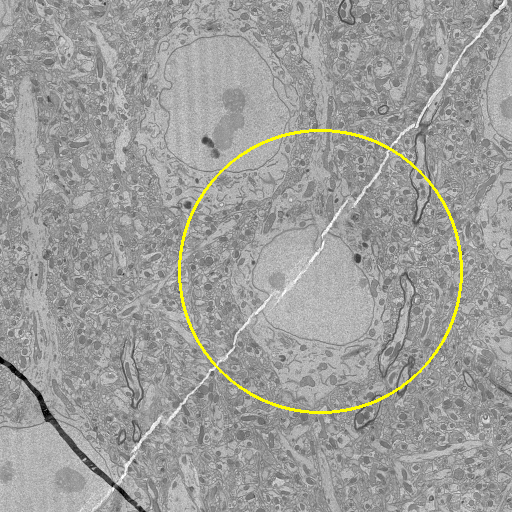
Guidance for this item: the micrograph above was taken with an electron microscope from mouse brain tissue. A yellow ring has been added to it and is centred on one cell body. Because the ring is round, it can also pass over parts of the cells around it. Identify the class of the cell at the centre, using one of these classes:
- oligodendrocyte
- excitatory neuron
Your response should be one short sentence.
The ring surrounds the body of an excitatory neuron.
